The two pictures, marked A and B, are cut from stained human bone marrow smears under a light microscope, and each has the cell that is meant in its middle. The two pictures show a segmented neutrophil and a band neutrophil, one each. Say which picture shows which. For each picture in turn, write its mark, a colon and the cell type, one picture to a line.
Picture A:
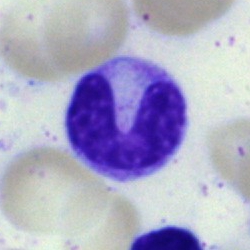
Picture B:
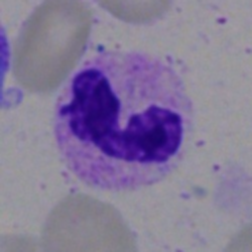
A: band neutrophil
B: segmented neutrophil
